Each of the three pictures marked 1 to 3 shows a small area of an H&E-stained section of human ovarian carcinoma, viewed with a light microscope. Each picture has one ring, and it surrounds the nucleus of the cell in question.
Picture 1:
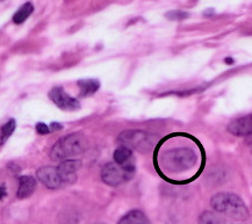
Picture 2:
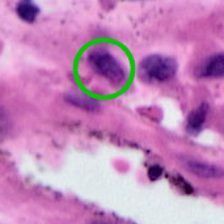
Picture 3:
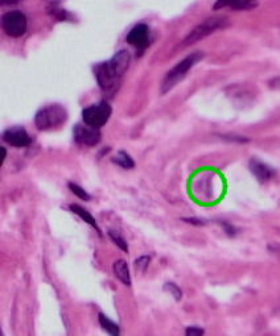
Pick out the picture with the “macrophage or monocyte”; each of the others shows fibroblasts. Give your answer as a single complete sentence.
The picture with the “macrophage or monocyte” is 1.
